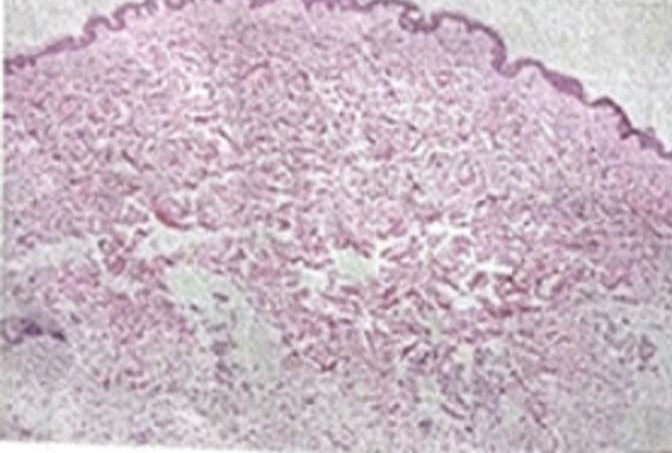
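This is a section of skin with a thin, darker pink-purple epidermis running along the top in an undulating line. Beneath it, the dermis fills most of the field as a dense meshwork of pink, wavy collagen bundles with small pale clefts between them.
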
